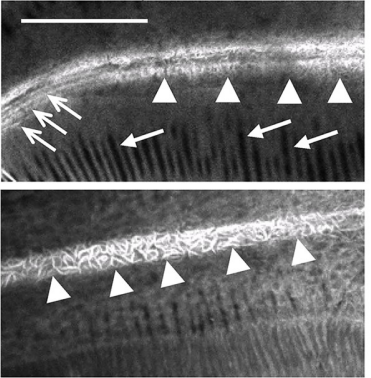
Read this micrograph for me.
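These are fluorescence views of the nematode cuticle along the side of the body, where a bright band of lengthwise lines underlies the alae and fine transverse stripes cover the hypodermis on either side. At one end of the upper image the lengthwise band is made of straight, parallel lines, as is normal. Along much of its length, however, the band breaks up into a disorganized tangle of short, curling, intertwined threads that look like spaghetti. The lower image shows the same tangled pattern along nearly the whole band. Below the band, the circumferential stripes are interrupted by dark gaps, so the regular comb-like pattern is broken.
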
